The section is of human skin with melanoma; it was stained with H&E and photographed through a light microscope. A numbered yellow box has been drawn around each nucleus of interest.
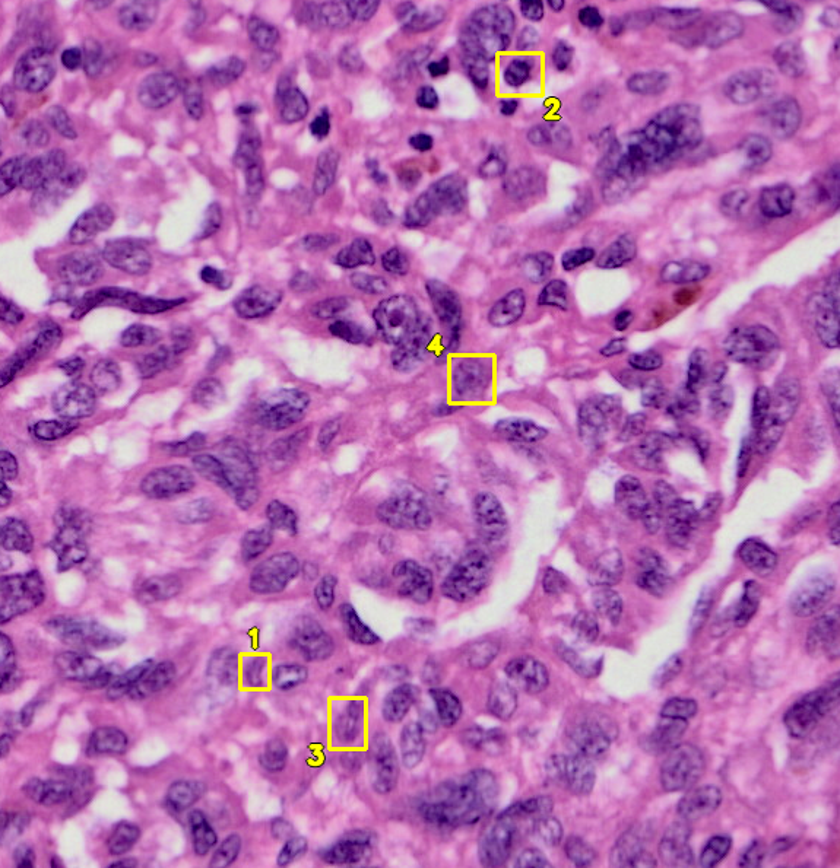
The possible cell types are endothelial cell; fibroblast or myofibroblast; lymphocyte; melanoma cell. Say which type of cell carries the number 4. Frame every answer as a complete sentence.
Identified by the number 4, the cell is a melanoma cell.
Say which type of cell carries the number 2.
Identified as a lymphocyte is the cell bearing the number 2.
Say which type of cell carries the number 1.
Cell 1 in the field of view is a melanoma cell.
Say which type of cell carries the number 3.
The nucleus labeled 3 belongs to a melanoma cell.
